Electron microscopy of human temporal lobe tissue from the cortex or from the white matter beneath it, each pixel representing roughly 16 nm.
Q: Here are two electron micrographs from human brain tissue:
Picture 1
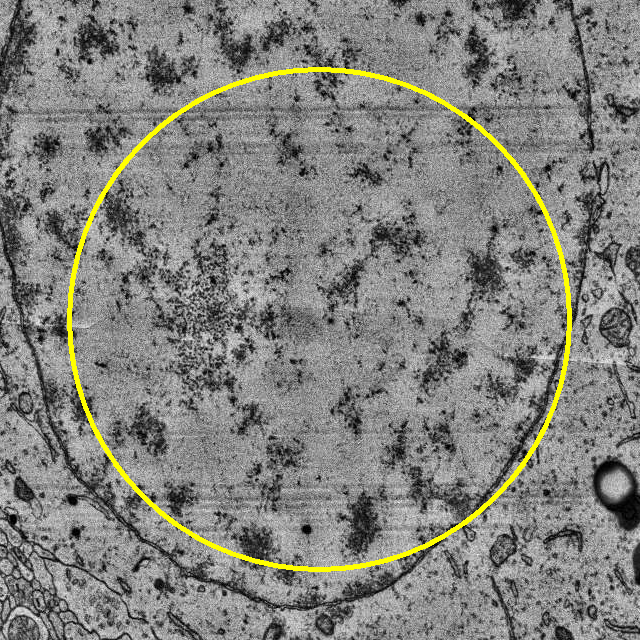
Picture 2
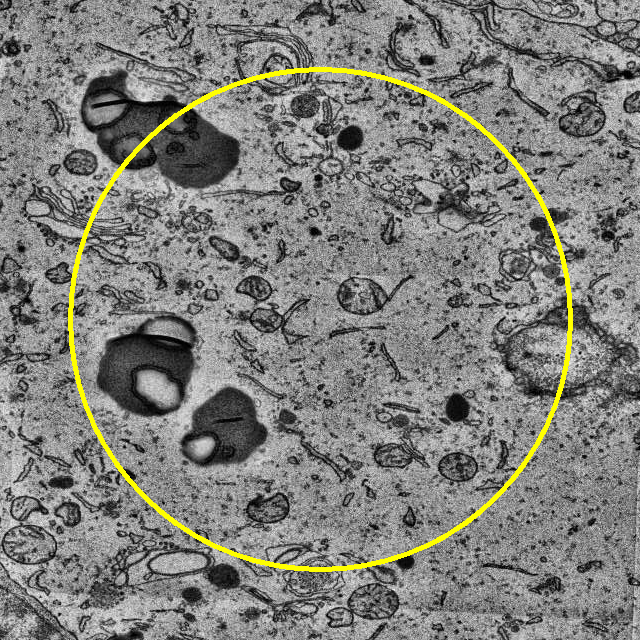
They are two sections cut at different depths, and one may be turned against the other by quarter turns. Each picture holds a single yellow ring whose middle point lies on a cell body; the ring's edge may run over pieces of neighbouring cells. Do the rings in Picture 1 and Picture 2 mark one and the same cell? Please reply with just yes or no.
no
